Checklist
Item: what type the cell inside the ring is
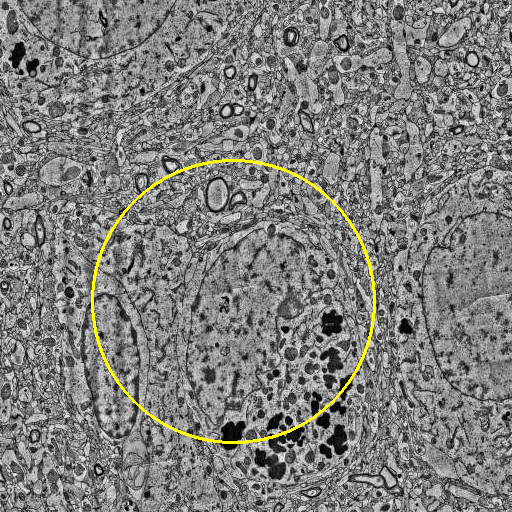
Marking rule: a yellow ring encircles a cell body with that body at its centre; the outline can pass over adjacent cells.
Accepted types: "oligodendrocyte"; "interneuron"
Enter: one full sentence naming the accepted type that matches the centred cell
The entry is that an interneuron lies at the centre of the yellow ring.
